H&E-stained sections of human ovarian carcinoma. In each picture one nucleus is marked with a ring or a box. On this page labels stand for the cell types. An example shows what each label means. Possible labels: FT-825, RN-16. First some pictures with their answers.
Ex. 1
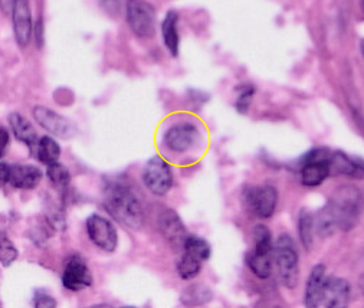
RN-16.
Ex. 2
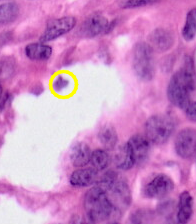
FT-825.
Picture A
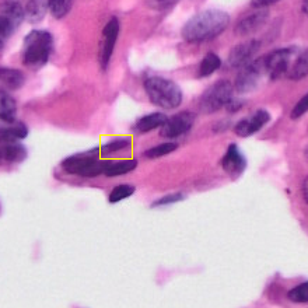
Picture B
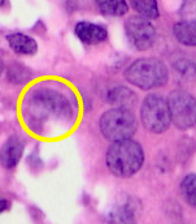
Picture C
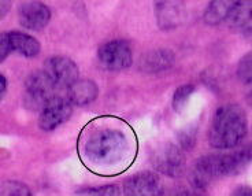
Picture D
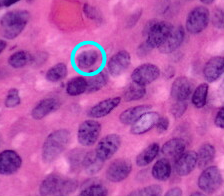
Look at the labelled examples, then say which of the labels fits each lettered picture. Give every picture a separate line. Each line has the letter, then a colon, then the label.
A: FT-825.
B: FT-825.
C: RN-16.
D: RN-16.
